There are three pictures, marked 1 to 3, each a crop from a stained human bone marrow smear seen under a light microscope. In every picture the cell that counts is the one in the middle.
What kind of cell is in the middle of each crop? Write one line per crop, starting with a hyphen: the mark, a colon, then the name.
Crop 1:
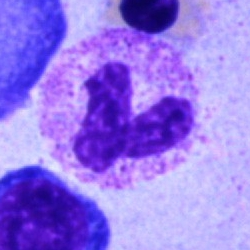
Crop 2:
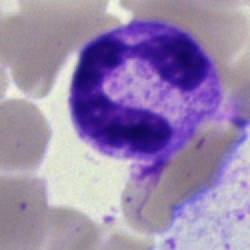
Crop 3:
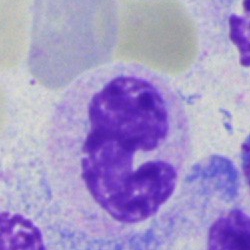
- 1: segmented neutrophil
- 2: segmented neutrophil
- 3: band neutrophil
